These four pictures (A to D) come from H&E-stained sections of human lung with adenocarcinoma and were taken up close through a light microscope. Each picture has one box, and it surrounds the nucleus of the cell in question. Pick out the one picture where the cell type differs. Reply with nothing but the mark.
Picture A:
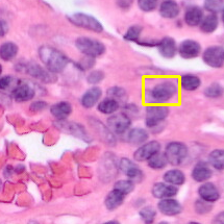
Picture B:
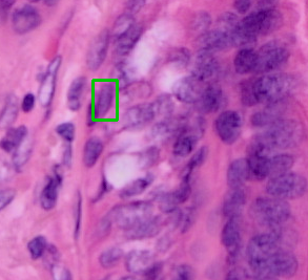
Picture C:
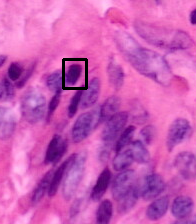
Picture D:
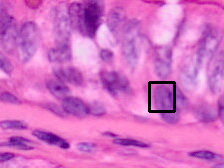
A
